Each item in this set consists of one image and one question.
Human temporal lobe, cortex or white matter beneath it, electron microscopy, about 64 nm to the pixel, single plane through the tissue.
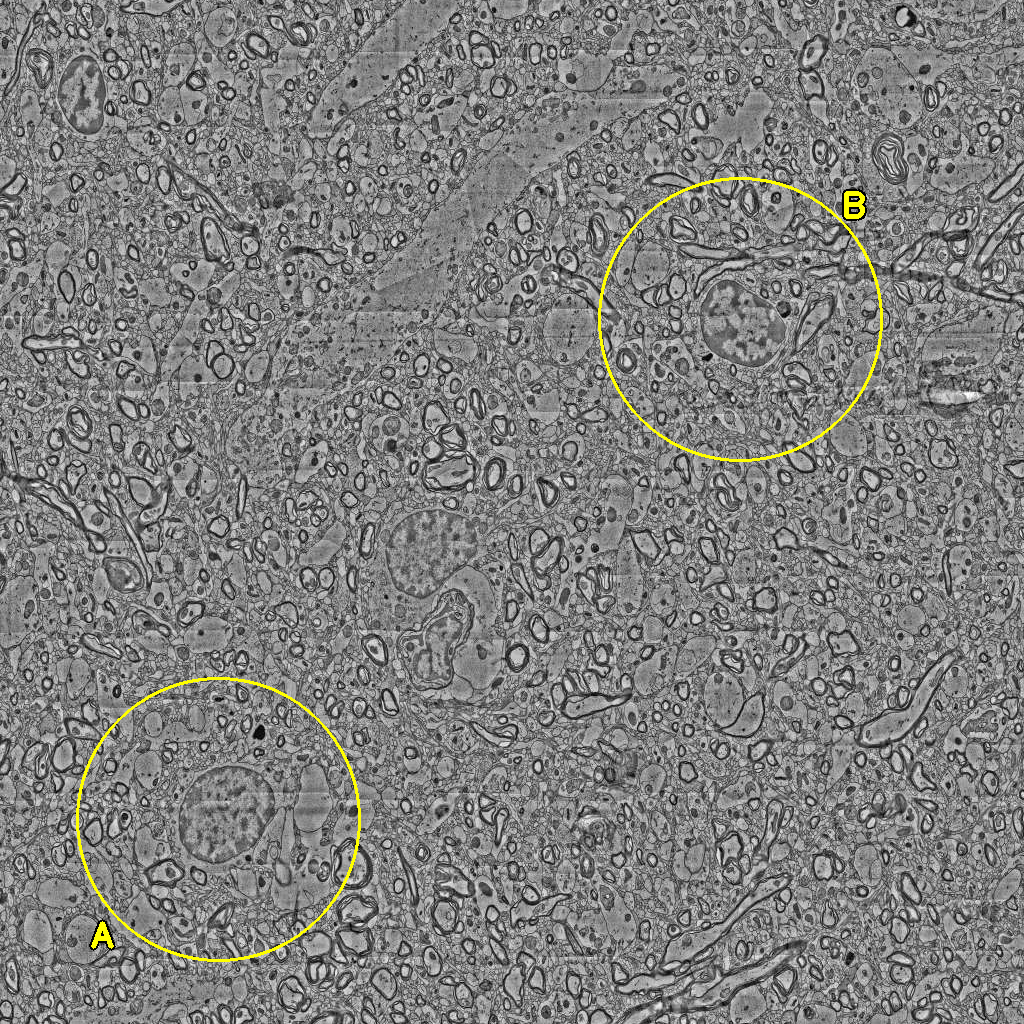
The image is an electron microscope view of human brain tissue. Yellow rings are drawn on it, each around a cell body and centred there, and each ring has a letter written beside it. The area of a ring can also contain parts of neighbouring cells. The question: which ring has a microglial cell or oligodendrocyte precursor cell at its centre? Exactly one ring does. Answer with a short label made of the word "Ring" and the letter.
Ring B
